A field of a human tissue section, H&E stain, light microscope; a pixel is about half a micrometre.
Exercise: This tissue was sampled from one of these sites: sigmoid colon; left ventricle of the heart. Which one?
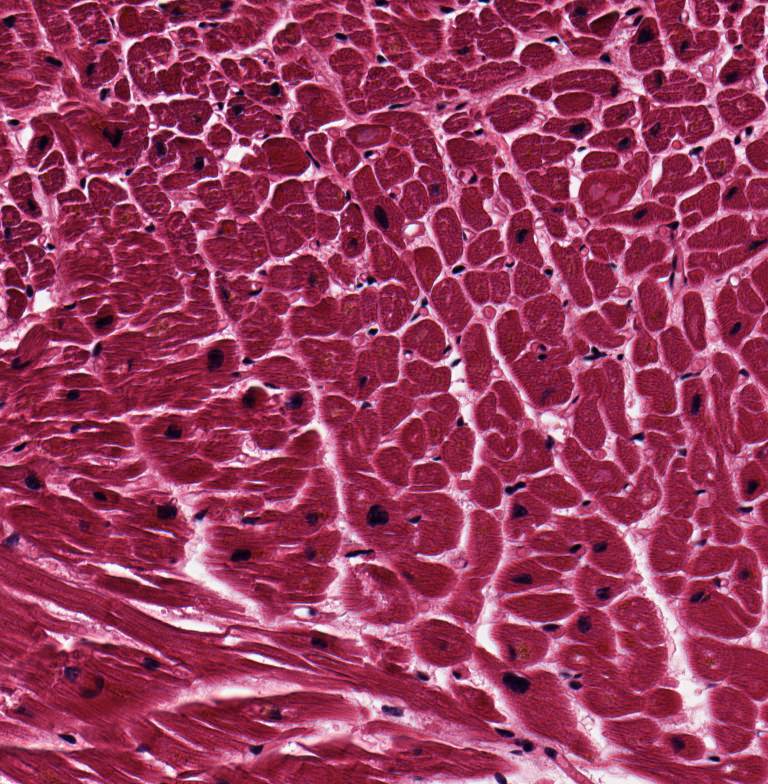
left ventricle of the heart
